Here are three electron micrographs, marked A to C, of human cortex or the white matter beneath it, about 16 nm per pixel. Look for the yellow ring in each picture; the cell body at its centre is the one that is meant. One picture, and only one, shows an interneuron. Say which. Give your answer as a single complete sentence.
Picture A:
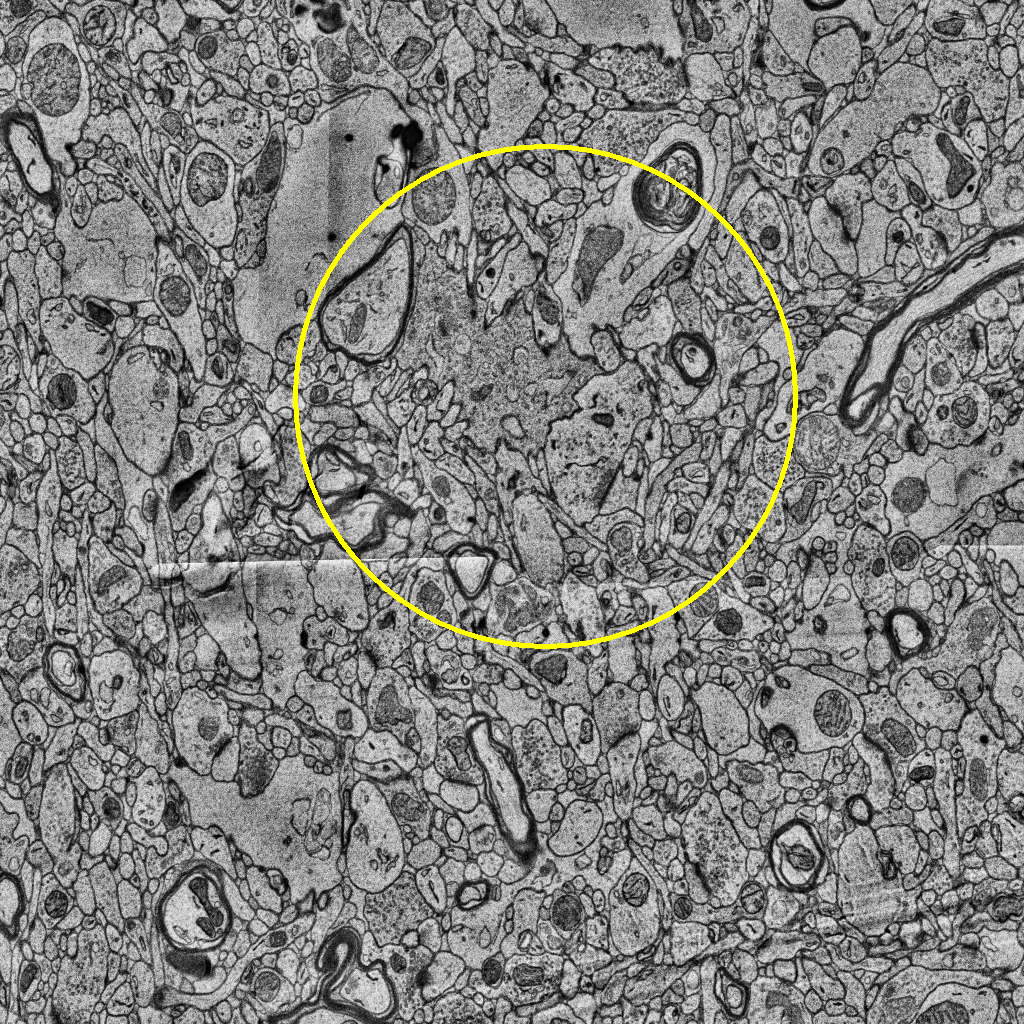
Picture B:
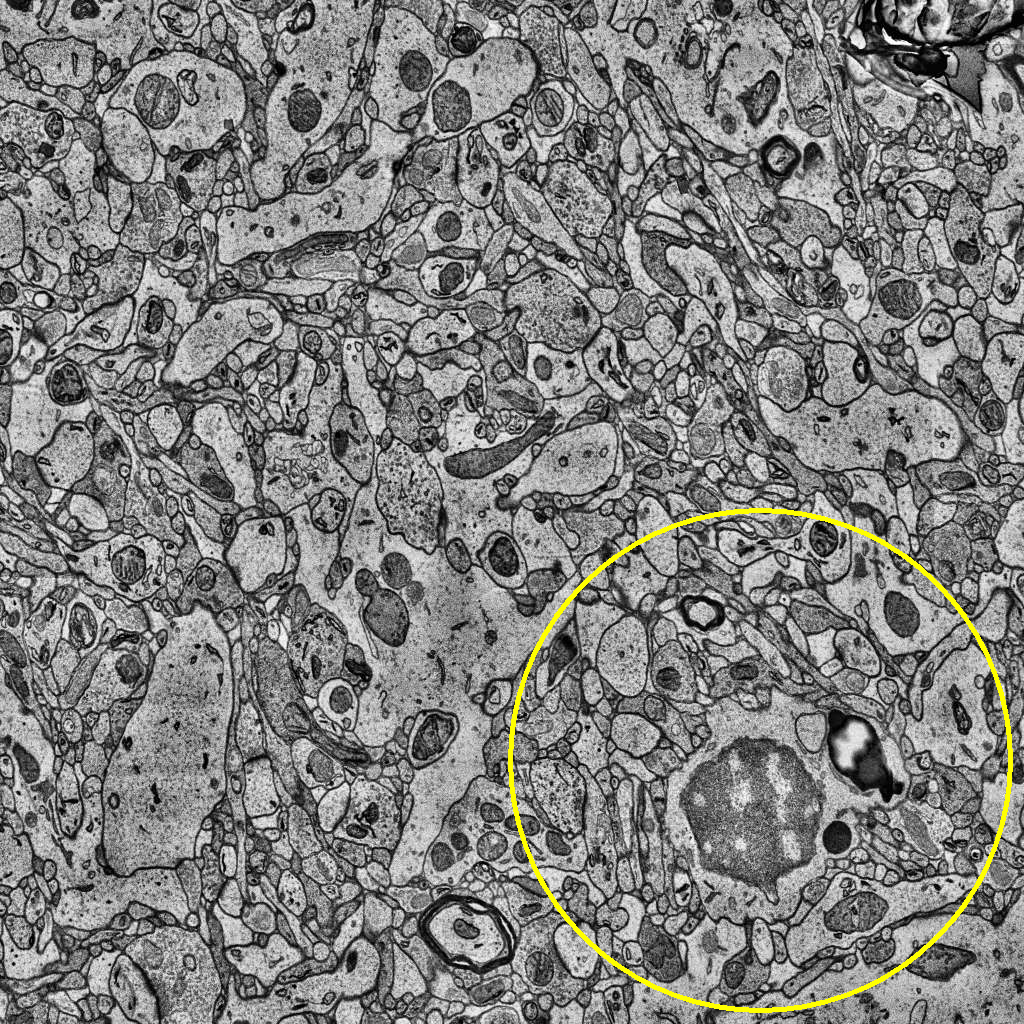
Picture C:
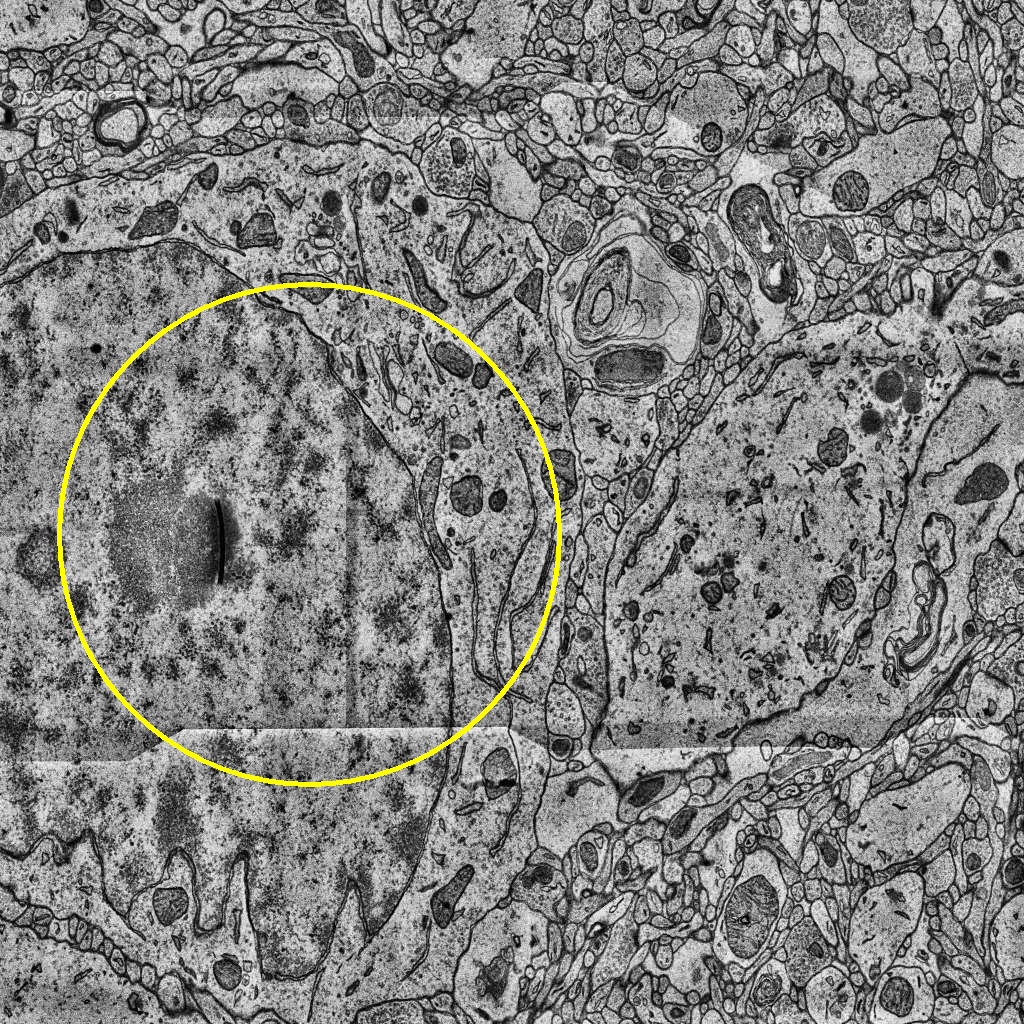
The interneuron is the one in picture C.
